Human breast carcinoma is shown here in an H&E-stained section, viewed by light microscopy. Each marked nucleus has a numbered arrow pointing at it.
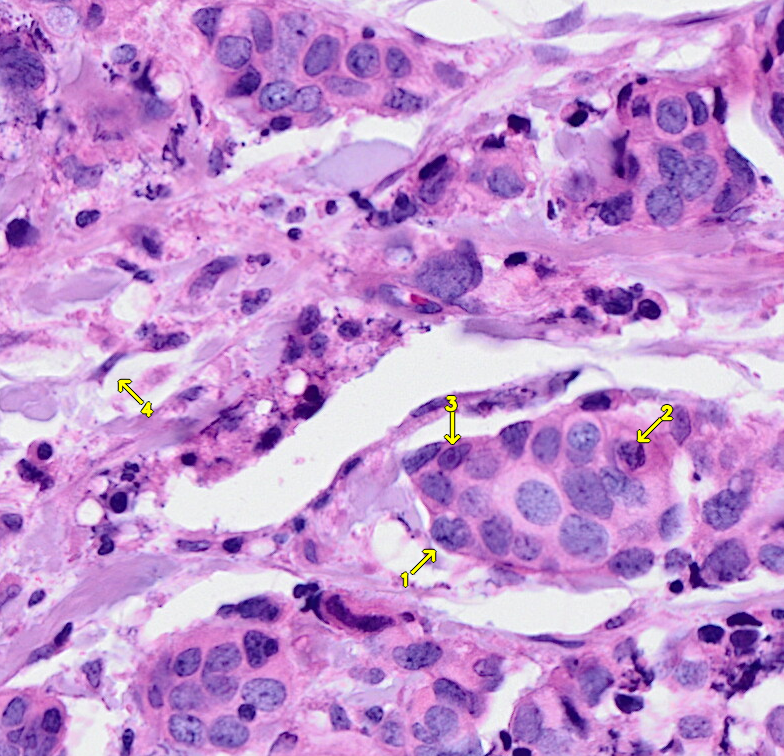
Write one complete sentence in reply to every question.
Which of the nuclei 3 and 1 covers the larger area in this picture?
At about 2 times the area of nucleus 3, nucleus 1 is the larger of the two.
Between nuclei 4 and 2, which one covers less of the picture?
The smaller nucleus is 4, and 2 covers roughly 2.5 times its area.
